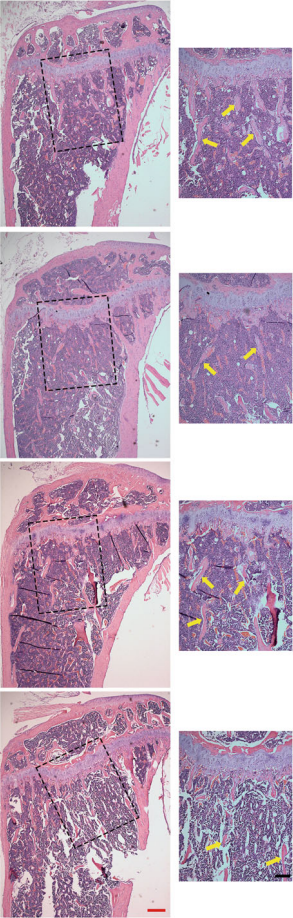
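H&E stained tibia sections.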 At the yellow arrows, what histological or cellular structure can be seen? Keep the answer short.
trabecular bone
